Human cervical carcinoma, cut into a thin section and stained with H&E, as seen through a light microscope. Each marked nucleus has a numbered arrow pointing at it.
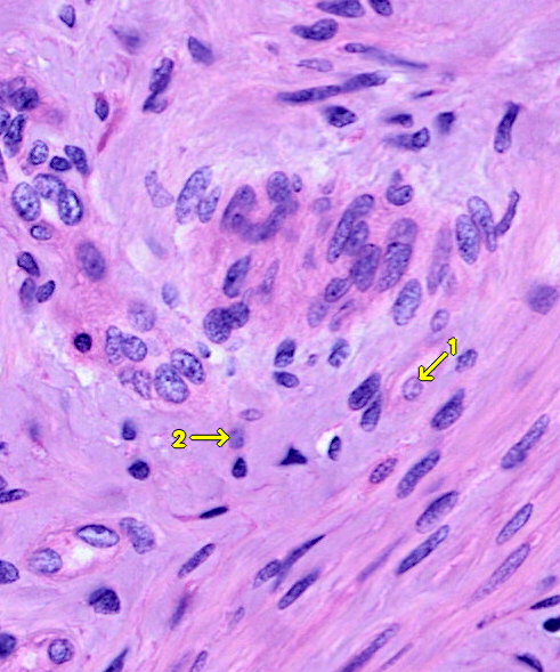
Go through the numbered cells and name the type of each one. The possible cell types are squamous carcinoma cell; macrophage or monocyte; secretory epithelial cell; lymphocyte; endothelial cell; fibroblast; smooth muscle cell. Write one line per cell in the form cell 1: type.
cell 1: endothelial cell
cell 2: fibroblast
